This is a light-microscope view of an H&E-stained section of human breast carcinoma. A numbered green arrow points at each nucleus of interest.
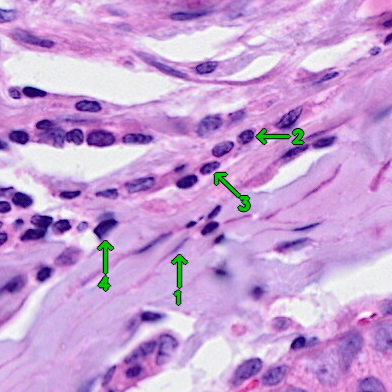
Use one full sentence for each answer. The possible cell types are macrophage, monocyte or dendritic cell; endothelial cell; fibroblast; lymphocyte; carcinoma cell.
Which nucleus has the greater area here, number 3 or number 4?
Number 4 is larger; its area is about 2 times that of number 3.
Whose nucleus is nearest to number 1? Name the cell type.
Closest to number 1 lies the nucleus of a fibroblast.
